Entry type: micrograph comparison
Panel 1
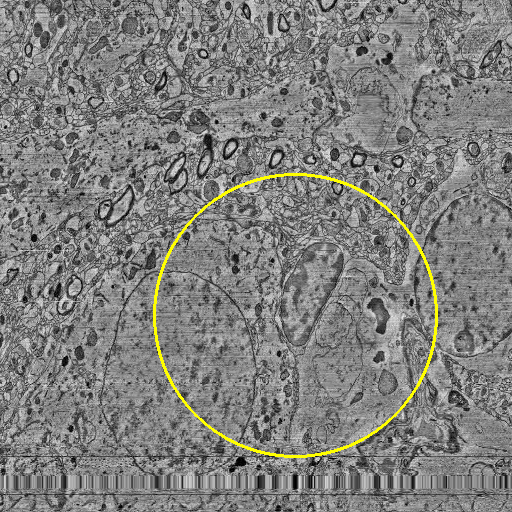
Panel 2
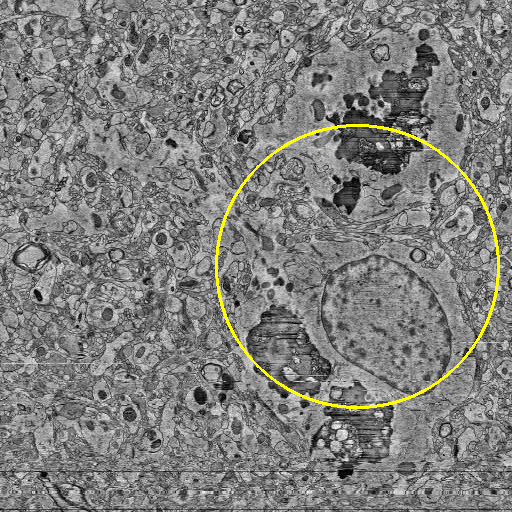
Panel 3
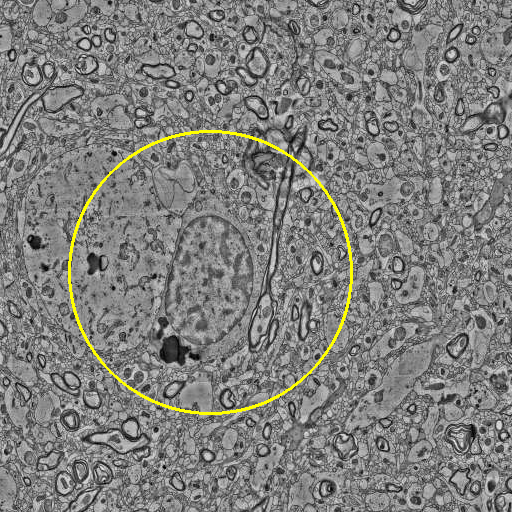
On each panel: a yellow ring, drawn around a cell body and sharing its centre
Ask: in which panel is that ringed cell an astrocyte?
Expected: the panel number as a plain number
2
